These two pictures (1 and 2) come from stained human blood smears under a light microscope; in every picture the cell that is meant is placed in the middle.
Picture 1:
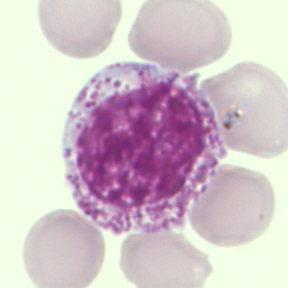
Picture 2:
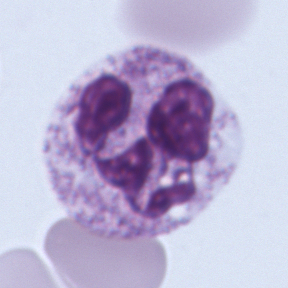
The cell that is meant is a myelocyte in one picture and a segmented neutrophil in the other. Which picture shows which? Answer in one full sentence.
It is picture 1 that shows a myelocyte, and picture 2 that shows a segmented neutrophil.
